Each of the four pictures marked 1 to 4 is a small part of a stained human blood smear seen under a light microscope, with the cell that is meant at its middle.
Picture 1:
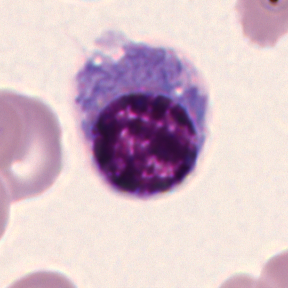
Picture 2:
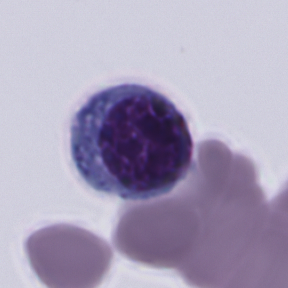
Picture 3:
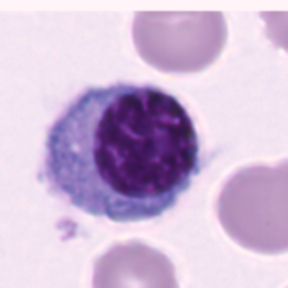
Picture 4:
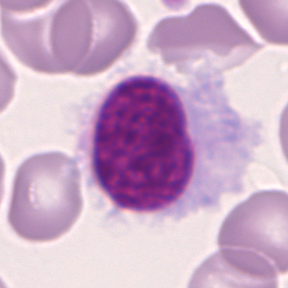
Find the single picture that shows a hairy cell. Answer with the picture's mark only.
4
